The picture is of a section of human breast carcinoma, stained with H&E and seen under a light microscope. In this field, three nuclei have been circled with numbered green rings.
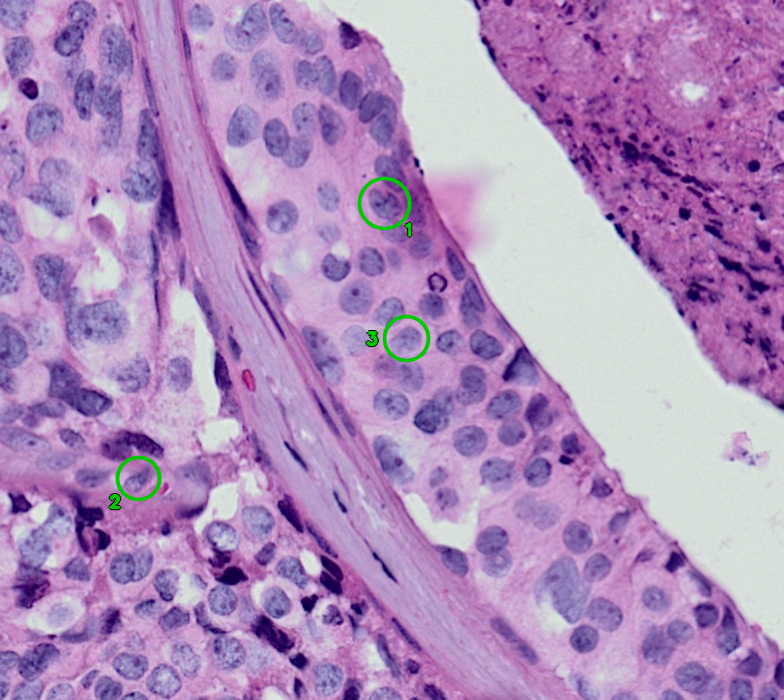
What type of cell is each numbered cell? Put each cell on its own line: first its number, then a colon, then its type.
1: carcinoma cell
2: endothelial cell
3: carcinoma cell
